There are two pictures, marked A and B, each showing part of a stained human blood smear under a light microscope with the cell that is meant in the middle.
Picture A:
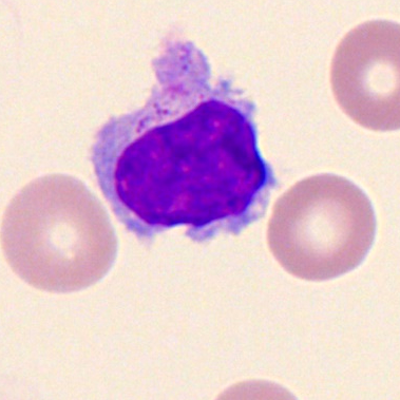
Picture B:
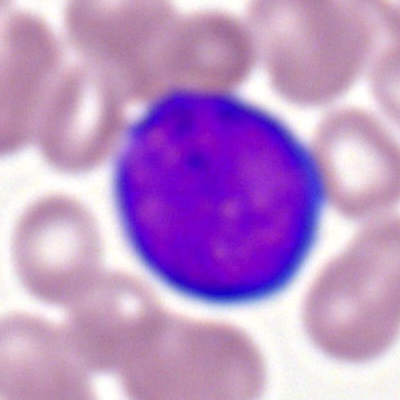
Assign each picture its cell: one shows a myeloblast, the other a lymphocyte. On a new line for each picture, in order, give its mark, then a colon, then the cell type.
A: lymphocyte
B: myeloblast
